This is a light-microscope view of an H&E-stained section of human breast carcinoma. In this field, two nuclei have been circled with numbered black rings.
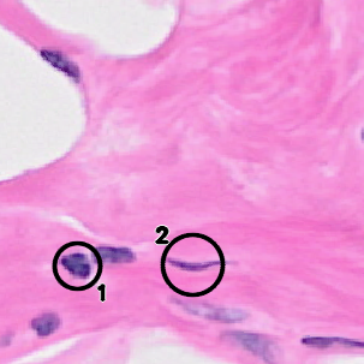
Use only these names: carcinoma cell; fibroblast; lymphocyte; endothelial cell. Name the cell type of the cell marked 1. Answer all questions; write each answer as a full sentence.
Belonging to a lymphocyte is the nucleus that carries the number 1.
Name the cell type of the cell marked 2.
Belonging to a fibroblast is the nucleus that carries the number 2.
